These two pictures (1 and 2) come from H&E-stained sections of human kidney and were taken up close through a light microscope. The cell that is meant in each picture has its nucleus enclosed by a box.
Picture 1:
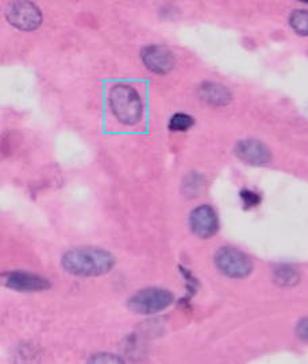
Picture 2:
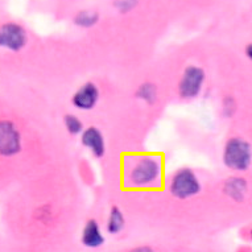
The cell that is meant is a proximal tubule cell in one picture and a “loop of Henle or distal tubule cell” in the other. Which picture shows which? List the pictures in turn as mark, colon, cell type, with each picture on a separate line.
1: proximal tubule cell
2: loop of Henle or distal tubule cell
